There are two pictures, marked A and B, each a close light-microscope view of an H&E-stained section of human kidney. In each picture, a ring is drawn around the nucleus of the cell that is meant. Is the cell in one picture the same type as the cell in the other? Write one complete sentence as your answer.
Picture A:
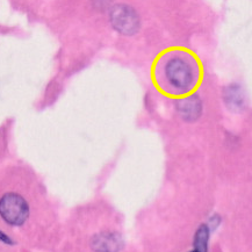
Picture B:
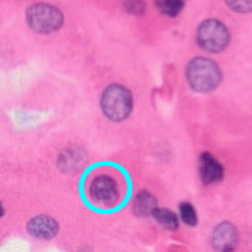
Yes, both are proximal tubule cells.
